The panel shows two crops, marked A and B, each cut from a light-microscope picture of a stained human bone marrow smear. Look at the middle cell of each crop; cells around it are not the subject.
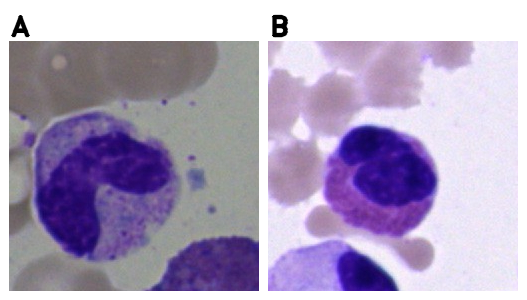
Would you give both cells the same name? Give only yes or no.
no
